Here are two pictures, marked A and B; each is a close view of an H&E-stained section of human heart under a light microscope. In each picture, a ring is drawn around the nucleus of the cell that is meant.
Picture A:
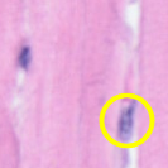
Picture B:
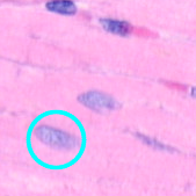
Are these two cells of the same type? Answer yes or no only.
no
